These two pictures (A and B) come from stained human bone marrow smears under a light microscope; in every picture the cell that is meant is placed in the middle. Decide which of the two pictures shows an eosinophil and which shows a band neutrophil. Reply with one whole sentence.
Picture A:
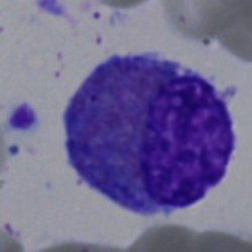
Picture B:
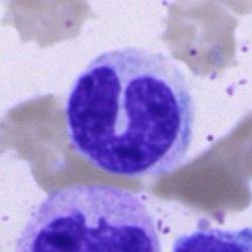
The cell in picture A is an eosinophil, and the one in picture B is a band neutrophil.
